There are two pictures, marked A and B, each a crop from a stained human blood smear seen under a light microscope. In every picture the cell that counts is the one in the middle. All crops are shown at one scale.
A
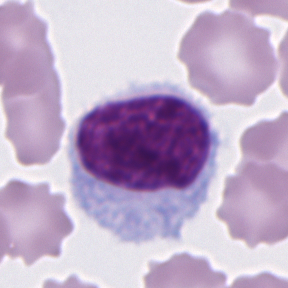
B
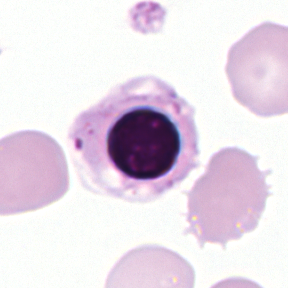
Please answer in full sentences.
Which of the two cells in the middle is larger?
Crop A holds the larger cell; it covers about 2 times the area of the cell in crop B.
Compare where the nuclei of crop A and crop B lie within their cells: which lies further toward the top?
The nucleus in crop A lies further toward the top of its cell.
